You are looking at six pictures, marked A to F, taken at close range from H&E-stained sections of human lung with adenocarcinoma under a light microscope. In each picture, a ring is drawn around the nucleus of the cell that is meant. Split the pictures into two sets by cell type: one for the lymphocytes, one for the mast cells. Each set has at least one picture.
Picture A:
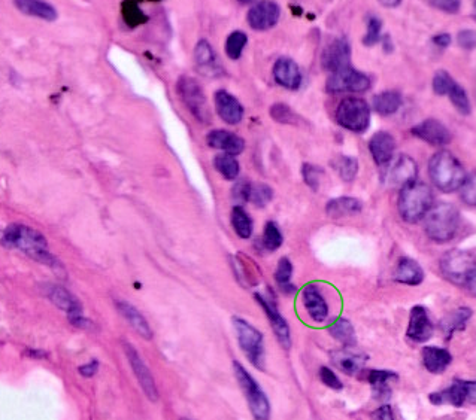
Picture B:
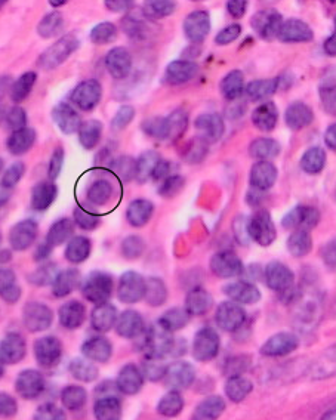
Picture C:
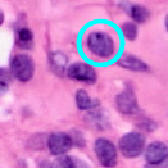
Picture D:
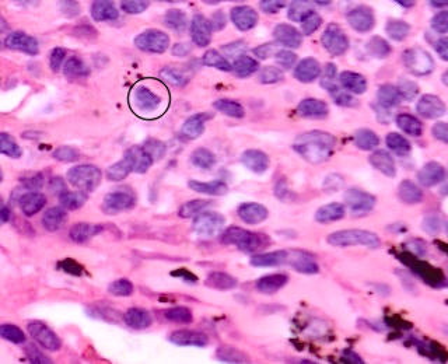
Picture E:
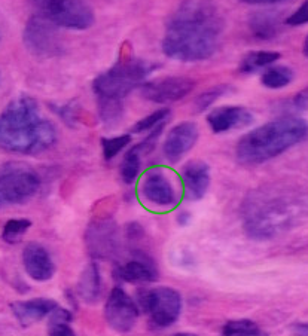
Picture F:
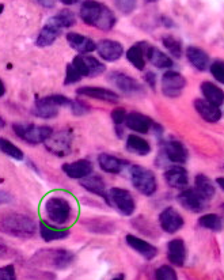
A: mast cell
B: lymphocyte
C: mast cell
D: lymphocyte
E: lymphocyte
F: lymphocyte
